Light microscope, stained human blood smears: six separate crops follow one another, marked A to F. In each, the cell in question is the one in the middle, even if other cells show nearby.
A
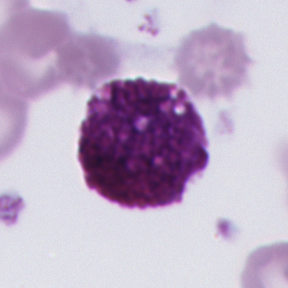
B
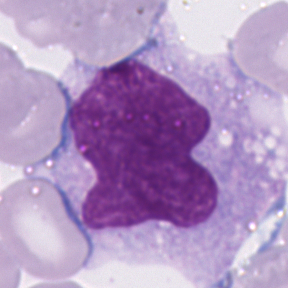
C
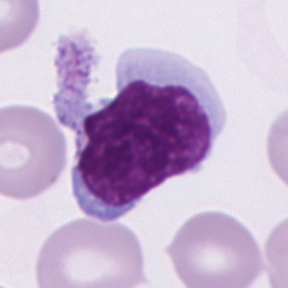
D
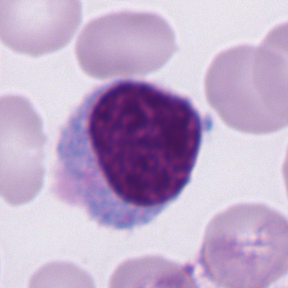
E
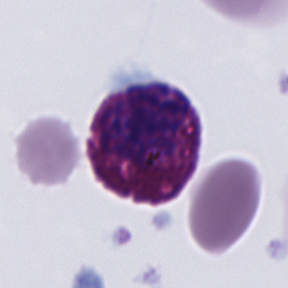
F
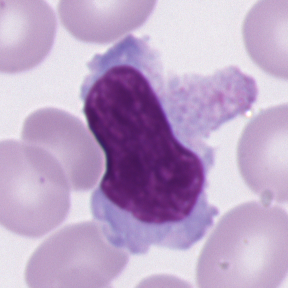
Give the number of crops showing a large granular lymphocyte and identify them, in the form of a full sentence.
In short, two crops contain large granular lymphocytes: C and F.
